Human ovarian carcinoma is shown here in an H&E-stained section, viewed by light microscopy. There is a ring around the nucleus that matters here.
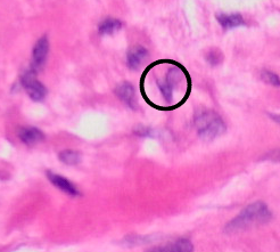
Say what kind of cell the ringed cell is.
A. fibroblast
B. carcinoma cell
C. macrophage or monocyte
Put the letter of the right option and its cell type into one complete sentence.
The accurate option is A, with the ringed cell being a fibroblast.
